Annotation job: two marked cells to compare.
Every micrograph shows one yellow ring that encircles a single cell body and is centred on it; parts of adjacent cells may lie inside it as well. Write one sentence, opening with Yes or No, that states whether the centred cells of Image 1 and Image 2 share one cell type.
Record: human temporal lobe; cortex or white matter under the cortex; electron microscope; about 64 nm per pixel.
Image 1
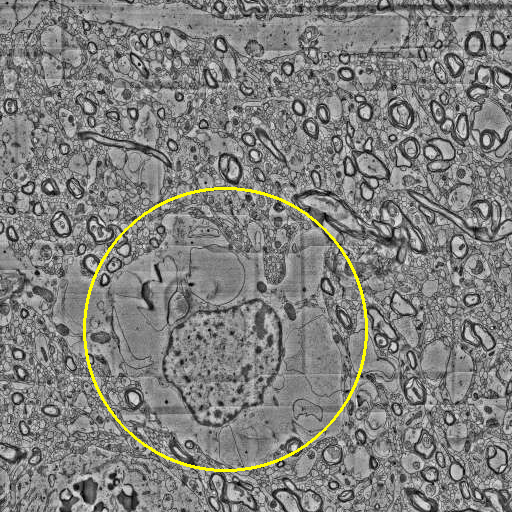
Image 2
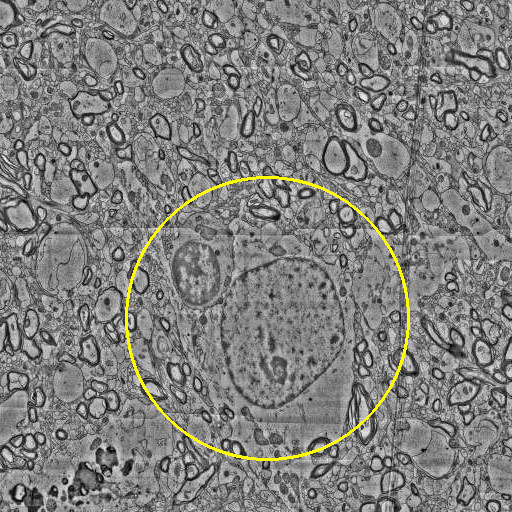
Yes, the cell centred in Image 1 shares its type with the cell centred in Image 2.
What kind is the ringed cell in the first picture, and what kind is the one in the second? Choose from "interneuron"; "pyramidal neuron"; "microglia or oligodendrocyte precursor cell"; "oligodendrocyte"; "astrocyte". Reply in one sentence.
In both pictures the ring is centred on an astrocyte.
